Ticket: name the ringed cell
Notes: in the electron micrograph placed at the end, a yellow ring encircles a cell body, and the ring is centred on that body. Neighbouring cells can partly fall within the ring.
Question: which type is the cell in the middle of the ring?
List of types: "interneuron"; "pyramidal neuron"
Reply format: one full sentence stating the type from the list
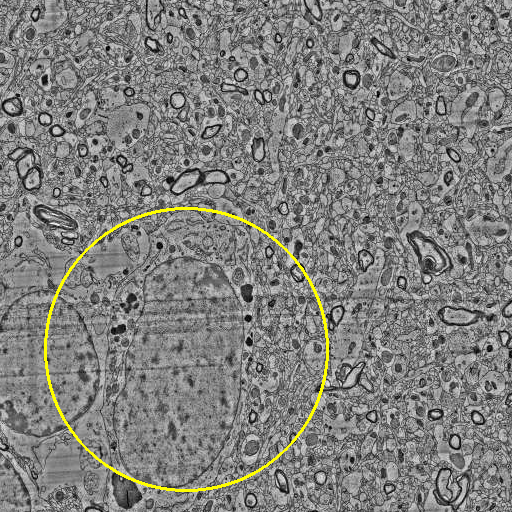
The cell sitting at the centre of the yellow ring is an interneuron.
